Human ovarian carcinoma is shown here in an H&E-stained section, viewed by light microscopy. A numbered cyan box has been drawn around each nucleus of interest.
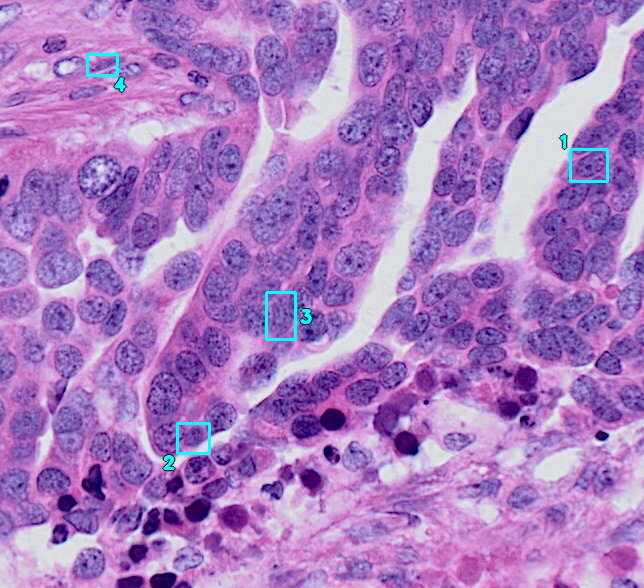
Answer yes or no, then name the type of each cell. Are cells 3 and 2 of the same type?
Yes, of the numbered cells, 3 and 2 are both carcinoma cells.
